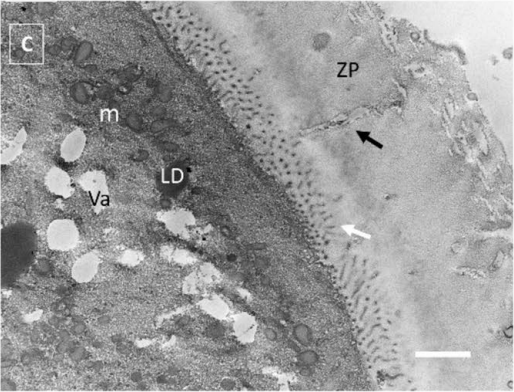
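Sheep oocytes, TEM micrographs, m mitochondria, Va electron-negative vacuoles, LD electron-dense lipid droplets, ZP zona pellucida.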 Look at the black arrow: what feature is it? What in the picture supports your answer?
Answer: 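A thin dark line runs through the pale homogeneous zona layer. It lies well away from the cell surface, within the zona.
Conclusion: transzonal projections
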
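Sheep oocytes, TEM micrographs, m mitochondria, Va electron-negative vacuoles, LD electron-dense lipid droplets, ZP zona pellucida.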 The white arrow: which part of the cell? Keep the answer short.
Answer: Microvilli.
